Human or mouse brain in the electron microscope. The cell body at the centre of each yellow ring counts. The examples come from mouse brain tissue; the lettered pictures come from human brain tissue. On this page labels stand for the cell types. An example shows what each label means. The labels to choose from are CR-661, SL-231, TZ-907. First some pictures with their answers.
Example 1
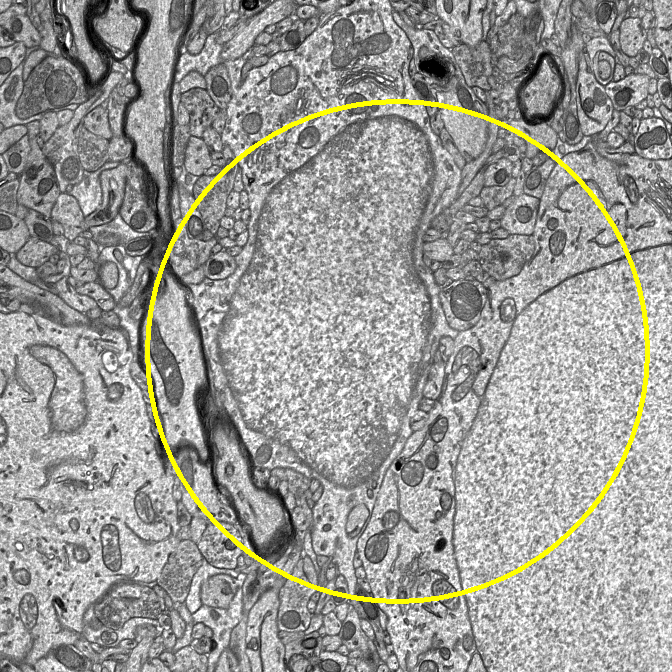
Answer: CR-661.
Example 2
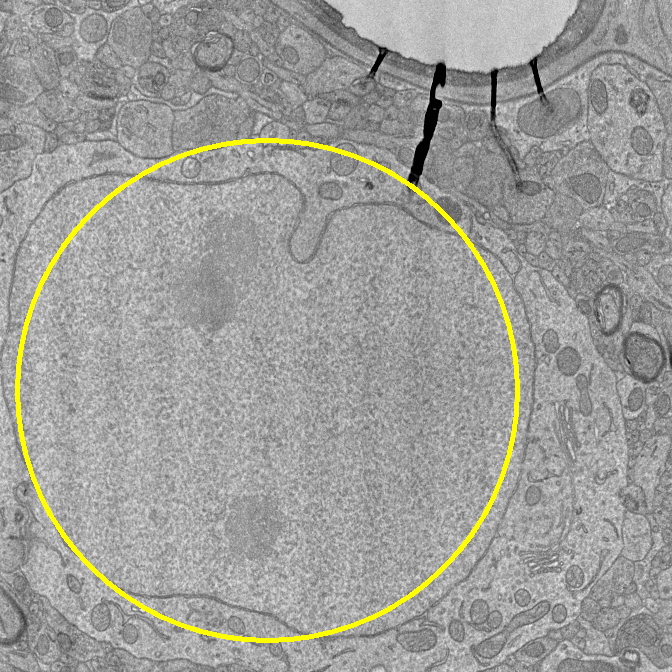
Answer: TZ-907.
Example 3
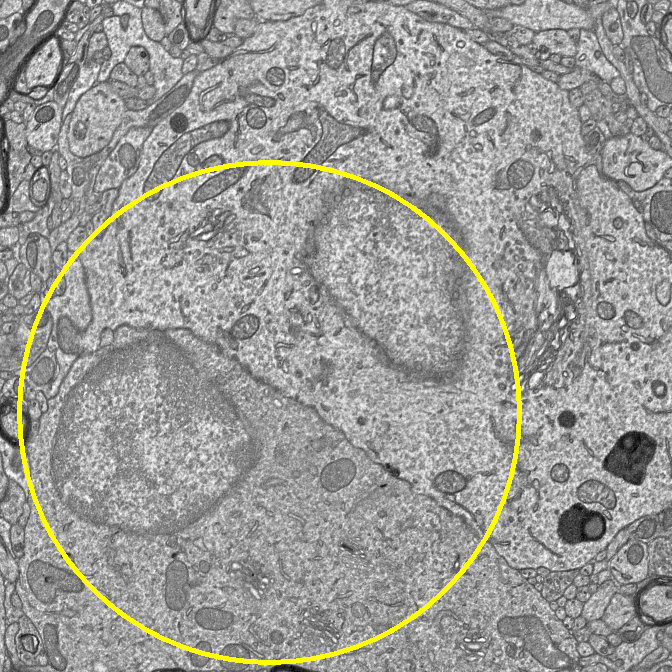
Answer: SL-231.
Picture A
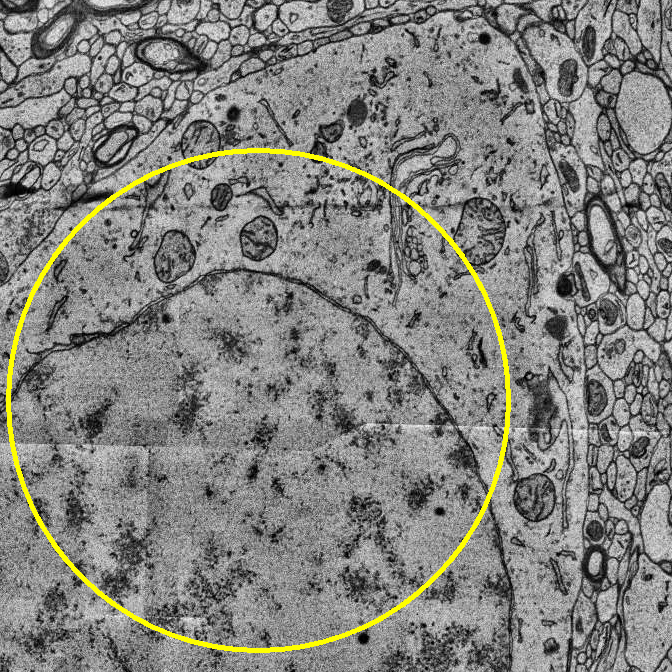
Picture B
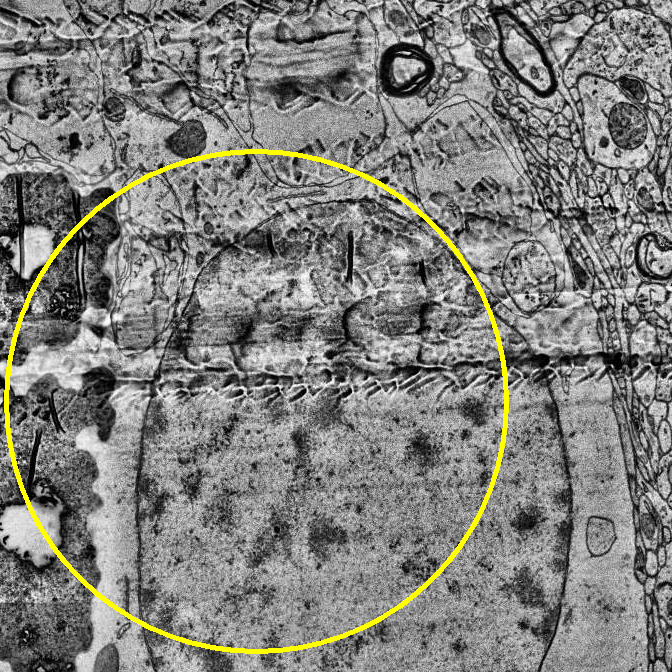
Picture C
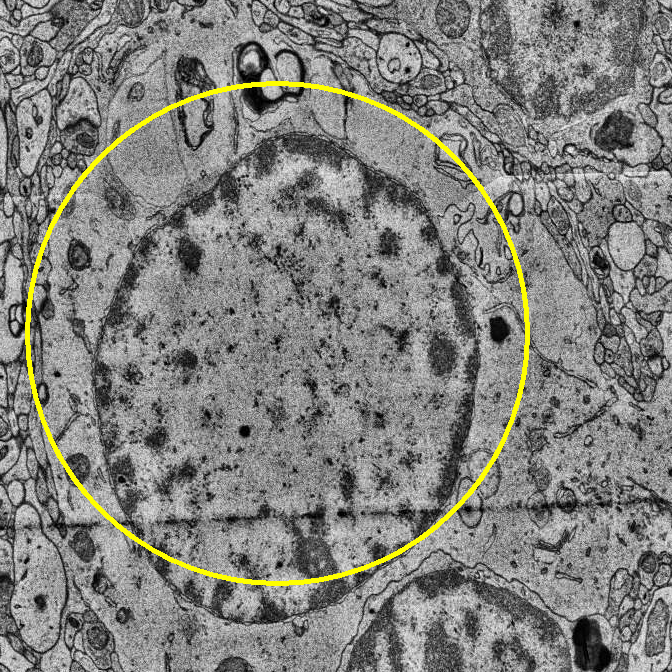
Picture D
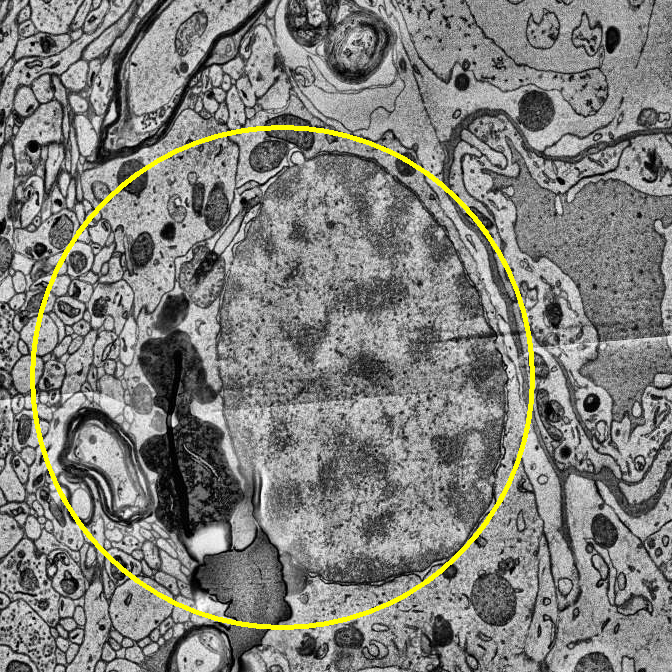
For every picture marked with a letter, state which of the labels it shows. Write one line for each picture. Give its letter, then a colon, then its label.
A: TZ-907.
B: CR-661.
C: CR-661.
D: SL-231.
